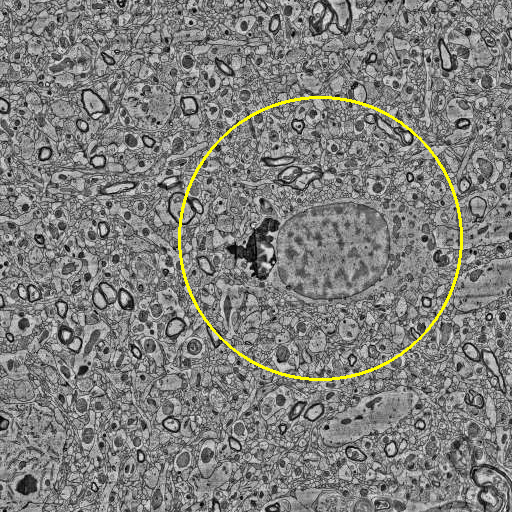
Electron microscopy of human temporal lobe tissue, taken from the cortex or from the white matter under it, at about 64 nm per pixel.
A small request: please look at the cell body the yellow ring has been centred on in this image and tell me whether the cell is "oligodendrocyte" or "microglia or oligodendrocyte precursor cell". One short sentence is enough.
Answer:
The cell marked by the ring is an oligodendrocyte.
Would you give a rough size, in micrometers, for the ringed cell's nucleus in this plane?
The ringed cell's nucleus measures approximately 8 by 6 micrometres in this plane.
